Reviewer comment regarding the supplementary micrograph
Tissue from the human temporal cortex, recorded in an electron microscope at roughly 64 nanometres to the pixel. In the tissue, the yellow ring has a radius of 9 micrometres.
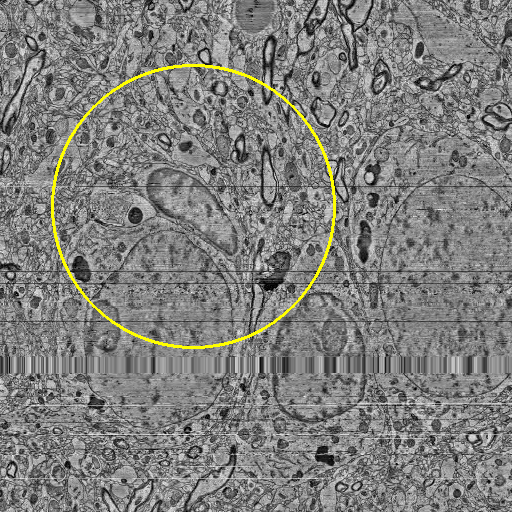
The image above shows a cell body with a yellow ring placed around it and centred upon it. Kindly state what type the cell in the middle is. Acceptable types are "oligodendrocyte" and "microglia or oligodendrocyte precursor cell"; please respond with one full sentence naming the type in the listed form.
In the image above, the cell on which the yellow ring is centred is an oligodendrocyte.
